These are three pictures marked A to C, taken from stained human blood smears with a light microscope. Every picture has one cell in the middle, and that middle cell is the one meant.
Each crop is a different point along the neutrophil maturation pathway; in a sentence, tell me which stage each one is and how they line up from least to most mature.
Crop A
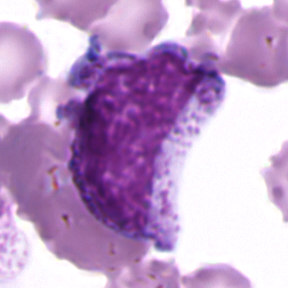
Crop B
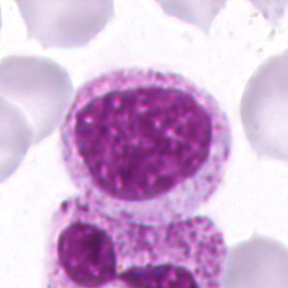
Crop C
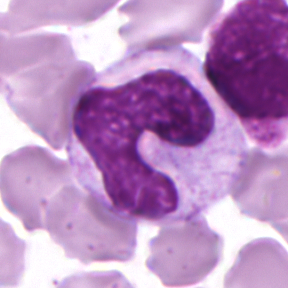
In rising order of maturity, the crops are crop A (a promyelocyte), crop B (a myelocyte) and crop C (a band neutrophil).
